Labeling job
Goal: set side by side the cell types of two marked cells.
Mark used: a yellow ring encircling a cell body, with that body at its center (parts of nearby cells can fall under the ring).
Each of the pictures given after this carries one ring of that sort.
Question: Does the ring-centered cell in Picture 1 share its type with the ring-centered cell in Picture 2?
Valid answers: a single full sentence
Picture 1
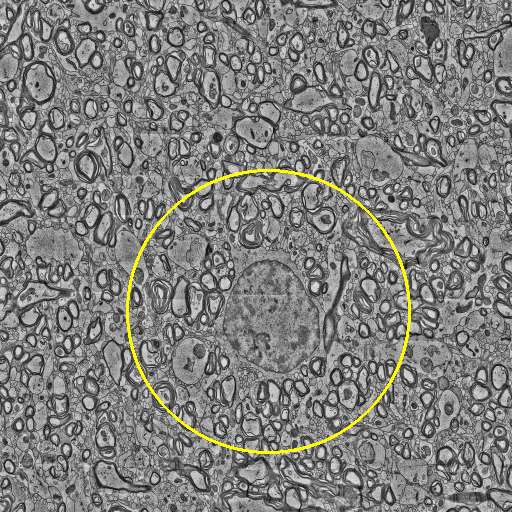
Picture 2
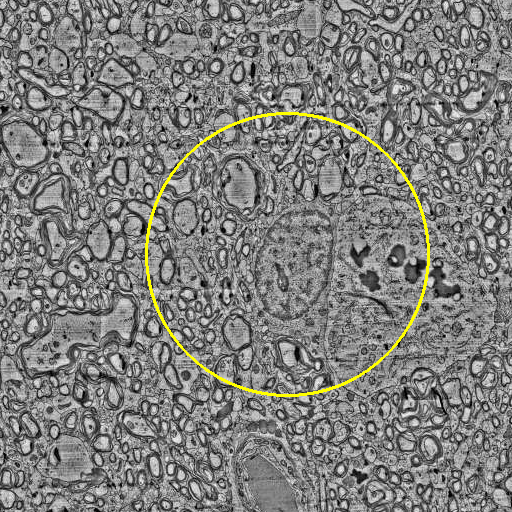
Yes, in Pictures 1 and 2 the cells at the ring centers share one type.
